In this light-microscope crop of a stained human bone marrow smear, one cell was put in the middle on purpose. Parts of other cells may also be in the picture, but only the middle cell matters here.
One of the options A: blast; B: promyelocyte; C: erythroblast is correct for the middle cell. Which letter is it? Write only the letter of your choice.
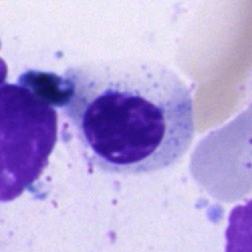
C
